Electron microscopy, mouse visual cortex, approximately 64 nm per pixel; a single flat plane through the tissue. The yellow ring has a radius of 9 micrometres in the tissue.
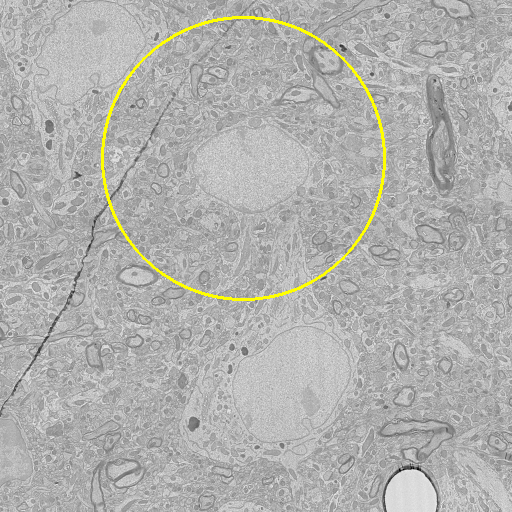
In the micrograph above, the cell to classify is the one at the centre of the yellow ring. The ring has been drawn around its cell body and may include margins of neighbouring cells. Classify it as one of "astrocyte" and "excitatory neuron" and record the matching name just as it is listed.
astrocyte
